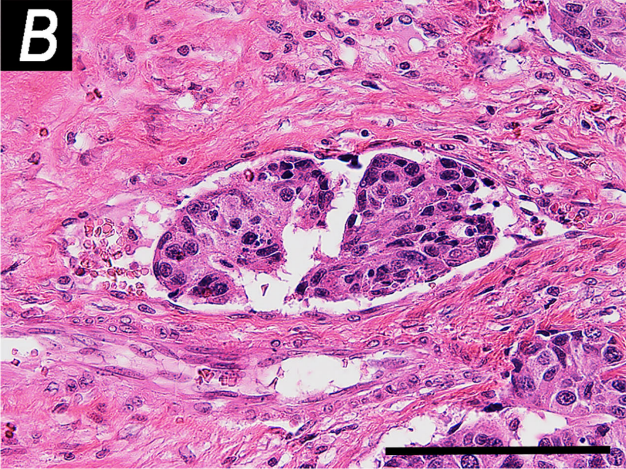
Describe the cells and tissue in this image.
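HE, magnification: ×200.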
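A clump of tumor cells lies free within a vessel lumen in fibrous stroma. The tumor cells are large, with enlarged, dark, irregular nuclei, some with visible nucleoli, and moderate pink cytoplasm. Red blood cells sit beside the clump inside the same lumen, which is lined by thin flattened cells. Around the vessel, pink collagen and scattered spindle cells form the stroma, with more atypical tumor cells at the lower right corner.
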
